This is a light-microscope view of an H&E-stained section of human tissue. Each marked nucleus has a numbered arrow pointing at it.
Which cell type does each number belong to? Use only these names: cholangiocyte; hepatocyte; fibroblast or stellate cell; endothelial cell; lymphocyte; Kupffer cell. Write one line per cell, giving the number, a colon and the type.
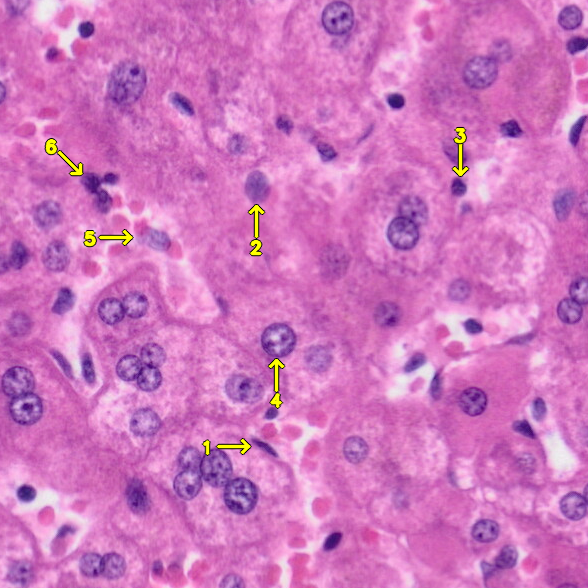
1: endothelial cell
2: endothelial cell
3: lymphocyte
4: hepatocyte
5: Kupffer cell
6: fibroblast or stellate cell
